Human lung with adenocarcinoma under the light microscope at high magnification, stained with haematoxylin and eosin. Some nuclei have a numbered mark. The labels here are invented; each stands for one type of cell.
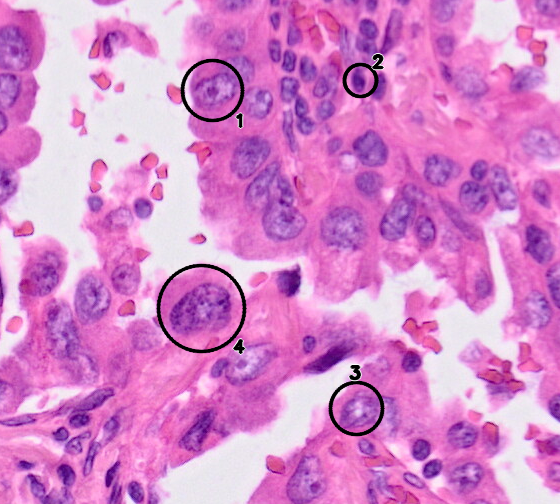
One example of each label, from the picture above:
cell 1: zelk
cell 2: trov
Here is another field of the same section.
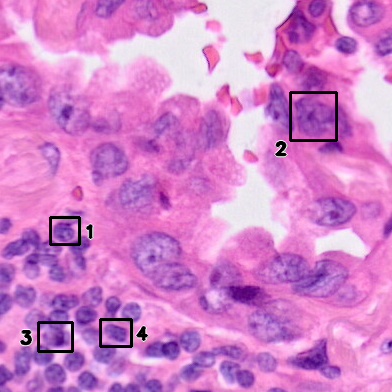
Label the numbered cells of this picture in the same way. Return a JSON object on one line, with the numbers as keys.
{"1": "trov", "2": "zelk", "3": "trov", "4": "trov"}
